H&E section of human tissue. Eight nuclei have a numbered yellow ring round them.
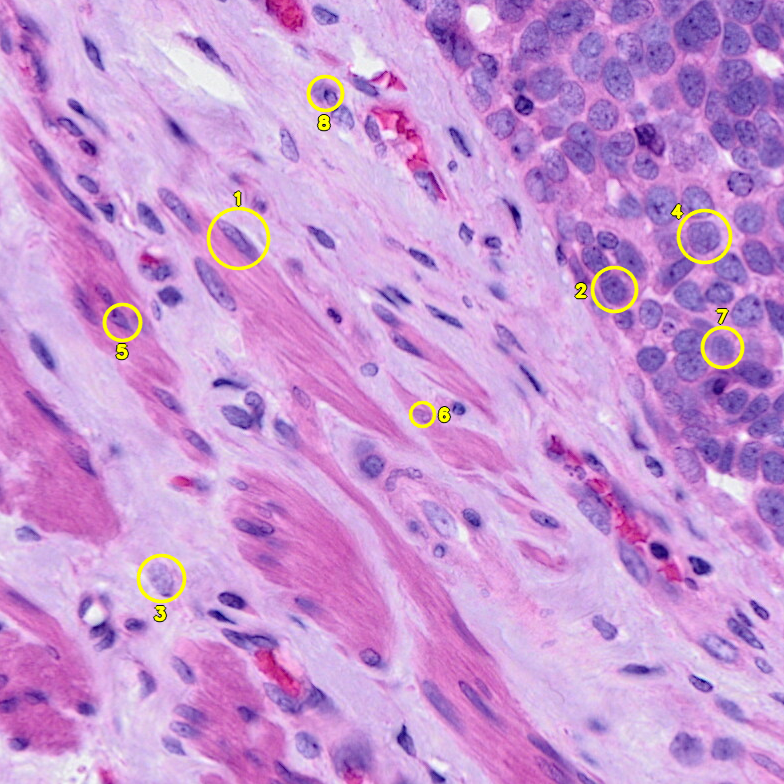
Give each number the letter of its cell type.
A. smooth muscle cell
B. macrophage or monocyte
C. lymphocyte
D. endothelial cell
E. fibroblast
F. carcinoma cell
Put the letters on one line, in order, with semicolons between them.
A; F; E; F; A; A; F; D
